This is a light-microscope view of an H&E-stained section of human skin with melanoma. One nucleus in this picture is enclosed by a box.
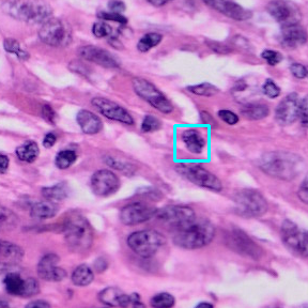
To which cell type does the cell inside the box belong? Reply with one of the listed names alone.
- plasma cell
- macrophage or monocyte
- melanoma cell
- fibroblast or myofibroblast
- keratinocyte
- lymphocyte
lymphocyte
